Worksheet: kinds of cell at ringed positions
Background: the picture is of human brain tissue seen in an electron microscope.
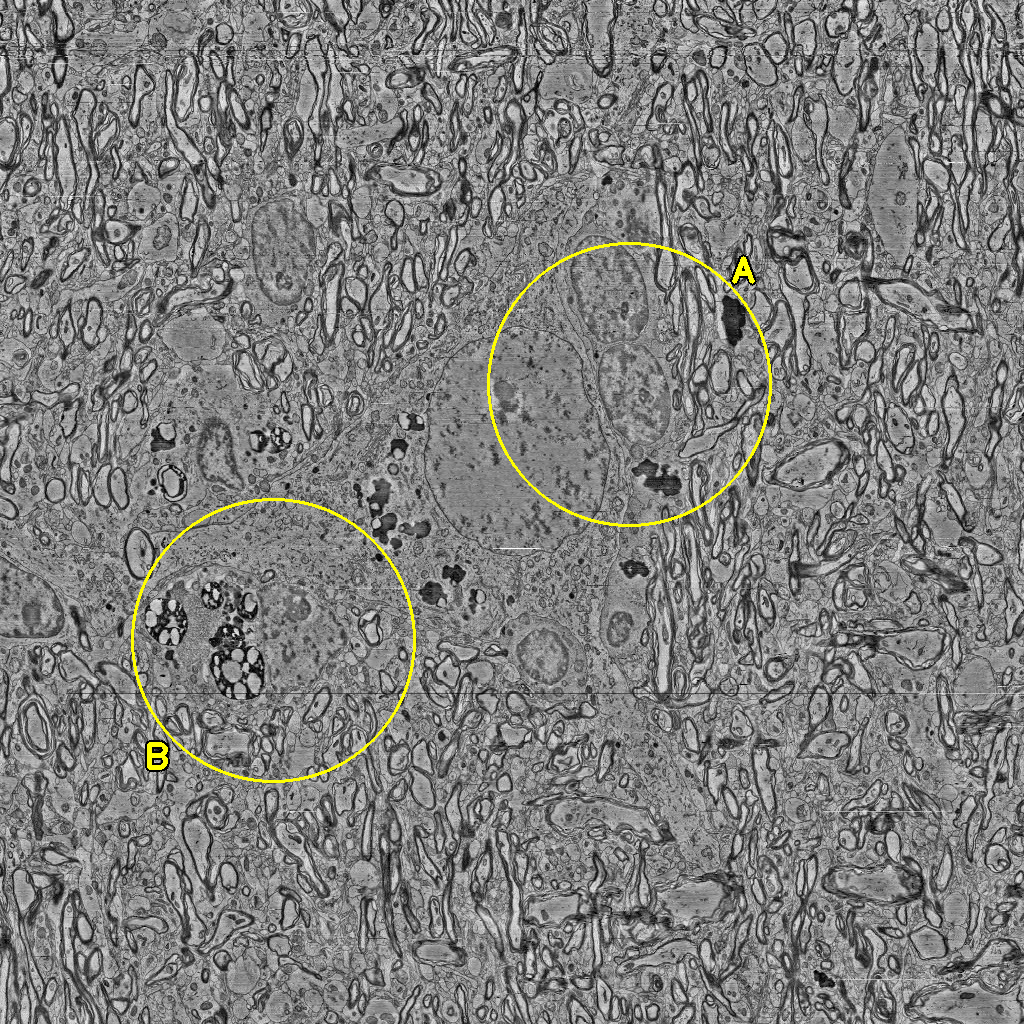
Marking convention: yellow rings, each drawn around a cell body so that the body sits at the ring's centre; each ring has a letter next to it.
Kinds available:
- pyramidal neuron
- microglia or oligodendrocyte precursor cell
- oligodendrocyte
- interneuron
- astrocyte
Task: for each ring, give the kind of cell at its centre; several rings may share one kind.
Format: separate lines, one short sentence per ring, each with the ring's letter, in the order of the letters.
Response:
Ring A is drawn around an oligodendrocyte.
Ring B is drawn around an astrocyte.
